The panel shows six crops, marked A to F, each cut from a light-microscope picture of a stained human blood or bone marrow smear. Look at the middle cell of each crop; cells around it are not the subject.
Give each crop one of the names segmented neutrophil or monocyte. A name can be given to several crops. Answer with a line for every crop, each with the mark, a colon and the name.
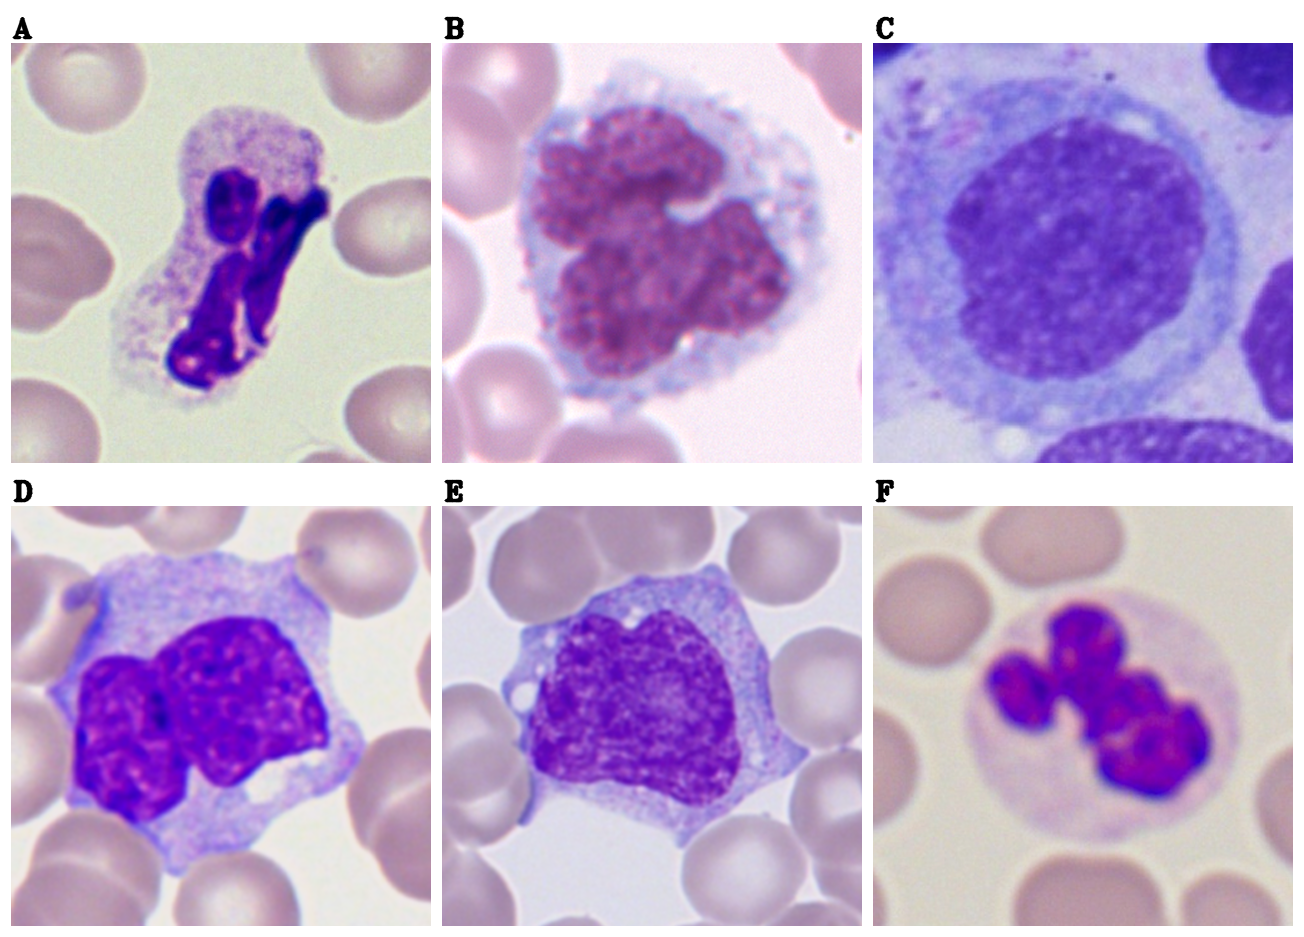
A: segmented neutrophil
B: monocyte
C: monocyte
D: monocyte
E: monocyte
F: segmented neutrophil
